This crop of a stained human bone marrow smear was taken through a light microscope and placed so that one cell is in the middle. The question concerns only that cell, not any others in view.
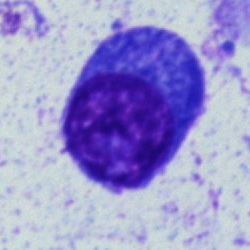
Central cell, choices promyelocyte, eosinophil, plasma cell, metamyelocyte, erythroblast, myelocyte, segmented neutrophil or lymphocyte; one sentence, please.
The cell of interest, in the center, is a plasma cell.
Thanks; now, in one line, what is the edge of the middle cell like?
Expected answer: a smooth cell outline without projections of any sort.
